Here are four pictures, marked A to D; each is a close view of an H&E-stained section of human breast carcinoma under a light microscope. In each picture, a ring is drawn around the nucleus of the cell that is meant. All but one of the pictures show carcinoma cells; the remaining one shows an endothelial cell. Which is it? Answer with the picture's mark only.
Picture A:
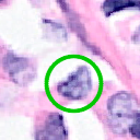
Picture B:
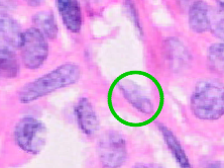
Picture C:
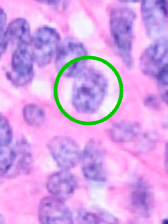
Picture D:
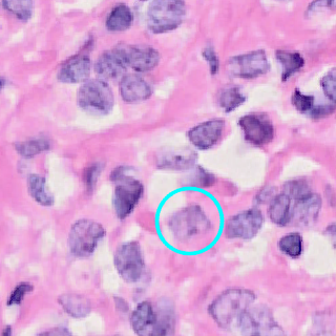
B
